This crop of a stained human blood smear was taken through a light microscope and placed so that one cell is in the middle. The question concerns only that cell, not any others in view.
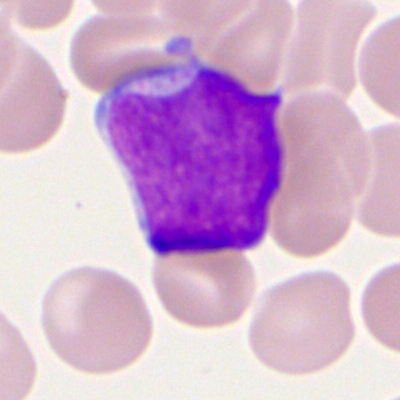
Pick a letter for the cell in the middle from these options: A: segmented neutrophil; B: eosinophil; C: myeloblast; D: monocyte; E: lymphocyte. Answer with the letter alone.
C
